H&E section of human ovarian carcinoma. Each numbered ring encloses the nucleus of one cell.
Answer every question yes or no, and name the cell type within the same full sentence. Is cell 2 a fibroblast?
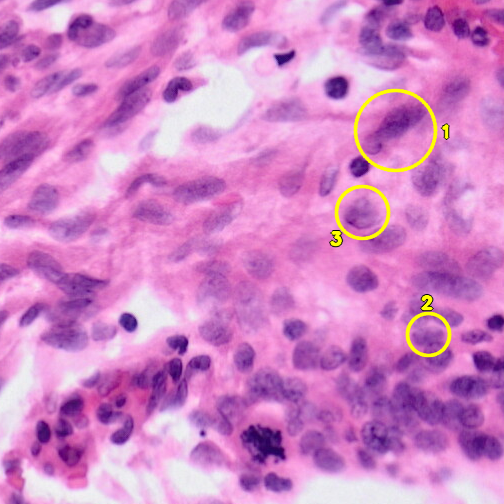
No, number 2 marks a carcinoma cell rather than a fibroblast.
